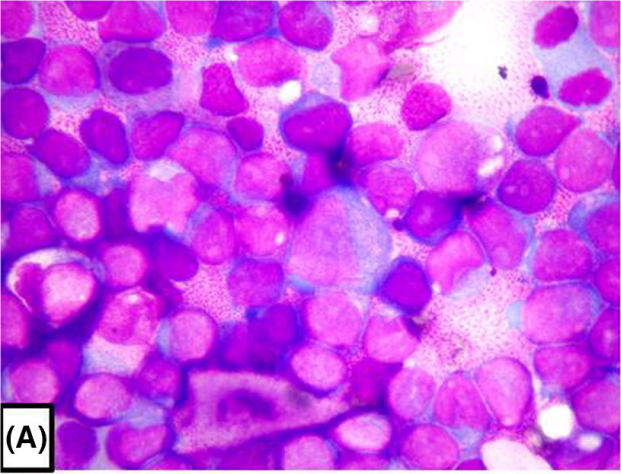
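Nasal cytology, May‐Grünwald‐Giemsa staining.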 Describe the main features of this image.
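The smear is crowded with round cells that are of lymphoid appearance, packed closely together. Most have a large, purple-magenta nucleus that fills nearly the whole cell, with only a thin rim of pale blue cytoplasm. A few larger cells with paler, more abundant cytoplasm lie scattered among them. Together the picture is of a massive lymphocytic infiltrate with abnormal nuclear features.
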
